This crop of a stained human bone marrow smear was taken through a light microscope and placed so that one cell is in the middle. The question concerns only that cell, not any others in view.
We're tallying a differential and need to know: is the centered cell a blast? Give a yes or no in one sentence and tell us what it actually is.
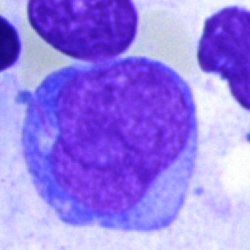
Yes, the cell in the exact middle is a blast.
